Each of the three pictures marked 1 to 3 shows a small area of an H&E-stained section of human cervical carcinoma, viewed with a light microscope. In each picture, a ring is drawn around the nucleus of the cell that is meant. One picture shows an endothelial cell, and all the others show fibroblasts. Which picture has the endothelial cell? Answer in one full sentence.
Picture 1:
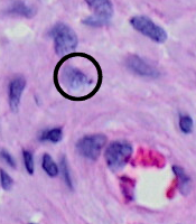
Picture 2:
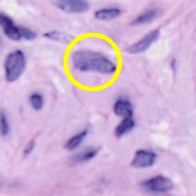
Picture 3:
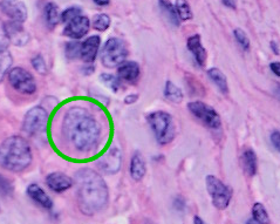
The picture with the endothelial cell is 3.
